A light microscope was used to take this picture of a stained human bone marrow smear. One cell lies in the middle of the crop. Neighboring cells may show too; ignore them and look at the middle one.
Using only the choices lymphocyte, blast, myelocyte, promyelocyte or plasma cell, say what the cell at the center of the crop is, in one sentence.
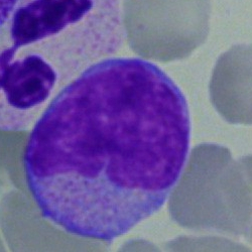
Here the centrally located cell is a blast.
